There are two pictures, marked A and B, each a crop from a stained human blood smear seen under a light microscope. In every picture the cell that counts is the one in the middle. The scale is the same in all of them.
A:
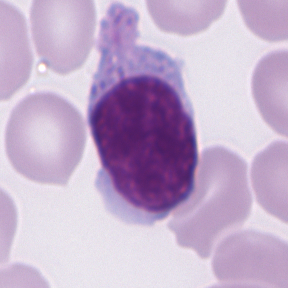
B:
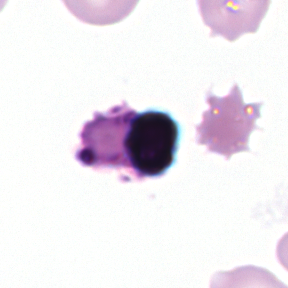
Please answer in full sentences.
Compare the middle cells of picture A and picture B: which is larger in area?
The cell in picture A is larger, with about 3 times the area of the one in picture B.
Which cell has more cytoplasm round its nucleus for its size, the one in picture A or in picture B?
In picture B the nucleus takes up the smaller part of its cell.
